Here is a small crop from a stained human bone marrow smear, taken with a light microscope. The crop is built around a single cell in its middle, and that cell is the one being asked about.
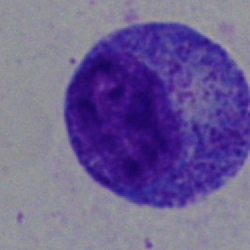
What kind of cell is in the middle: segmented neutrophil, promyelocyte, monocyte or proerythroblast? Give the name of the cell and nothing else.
promyelocyte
